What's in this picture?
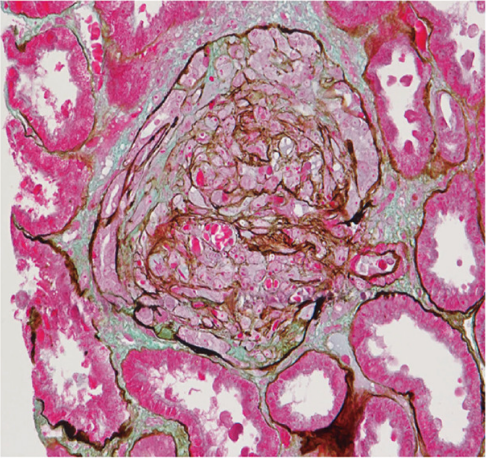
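This is a section of kidney cortex with a single glomerulus in the centre, surrounded by cross-cut renal tubules. The glomerular tuft is a rounded mass of capillary loops whose walls are outlined in brown to black, with pale pink matrix between them and a few red blood cells caught in the lumens. A dark, thickened capsule line encloses the tuft, with a narrow pale space in places. The surrounding tubules are lined by tall pink-red epithelial cells around wide, clear lumens, and each is outlined by a thin black basement membrane. The interstitium between glomerulus and tubules is pale green-grey and looks loose.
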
